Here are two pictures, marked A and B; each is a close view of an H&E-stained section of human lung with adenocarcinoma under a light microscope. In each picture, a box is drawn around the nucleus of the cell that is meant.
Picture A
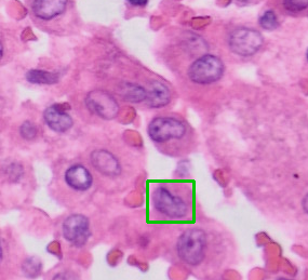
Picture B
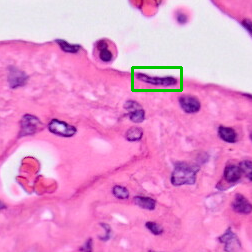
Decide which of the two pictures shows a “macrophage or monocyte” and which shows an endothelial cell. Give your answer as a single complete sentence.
The cell in picture A is a “macrophage or monocyte”, and the one in picture B is an endothelial cell.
